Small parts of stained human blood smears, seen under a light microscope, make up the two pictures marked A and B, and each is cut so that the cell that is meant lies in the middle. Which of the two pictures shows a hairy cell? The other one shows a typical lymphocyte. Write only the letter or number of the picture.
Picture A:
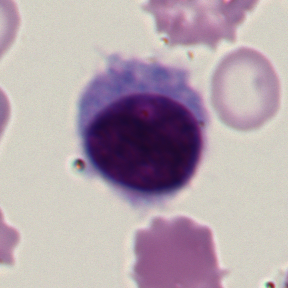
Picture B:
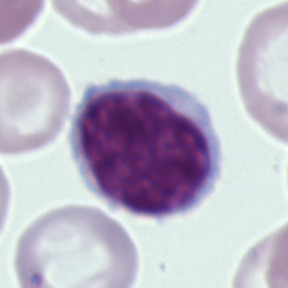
A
